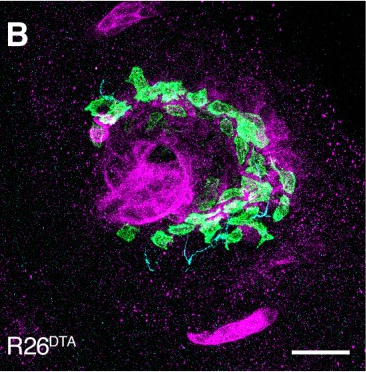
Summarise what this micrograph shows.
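A touch dome of the skin is seen from above, with a roughly circular magenta dome of keratinocytes. Numerous green Merkel cells, small and rounded to polygonal, form a dense ring around the dome. Thin cyan afferent fibres run among the green cells and branch near the edge of the ring. Scattered elongated magenta structures lie in the surrounding skin.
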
